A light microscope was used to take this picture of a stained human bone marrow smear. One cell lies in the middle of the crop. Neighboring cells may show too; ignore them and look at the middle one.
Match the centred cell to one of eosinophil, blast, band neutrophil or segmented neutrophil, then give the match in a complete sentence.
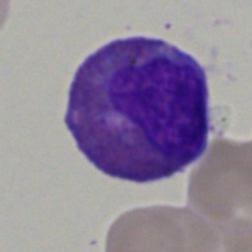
Centrally within this crop lies an eosinophil.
